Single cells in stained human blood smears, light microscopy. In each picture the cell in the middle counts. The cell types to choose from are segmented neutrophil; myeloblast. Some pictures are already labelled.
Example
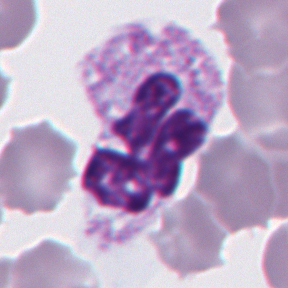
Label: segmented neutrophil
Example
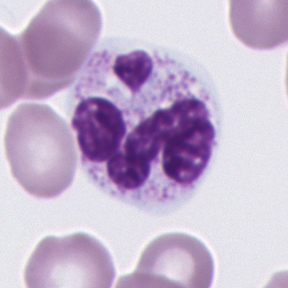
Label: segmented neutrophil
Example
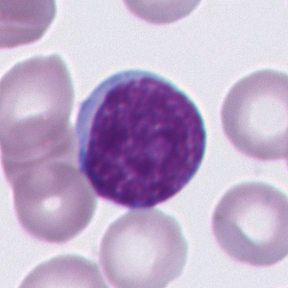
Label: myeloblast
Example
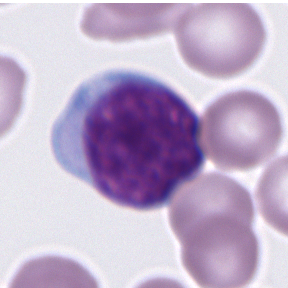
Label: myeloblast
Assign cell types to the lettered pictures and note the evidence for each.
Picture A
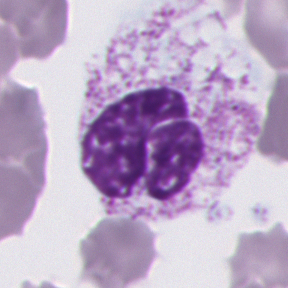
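segmented neutrophil: The cytoplasm is abundant and very pale, almost colourless between the granules.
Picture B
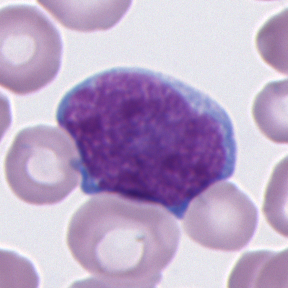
myeloblast: The cytoplasm forms a thin rim that is a little wider at the upper right.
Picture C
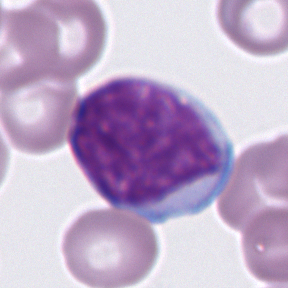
myeloblast: The cytoplasm forms a narrow crescent that is widest at the lower right.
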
